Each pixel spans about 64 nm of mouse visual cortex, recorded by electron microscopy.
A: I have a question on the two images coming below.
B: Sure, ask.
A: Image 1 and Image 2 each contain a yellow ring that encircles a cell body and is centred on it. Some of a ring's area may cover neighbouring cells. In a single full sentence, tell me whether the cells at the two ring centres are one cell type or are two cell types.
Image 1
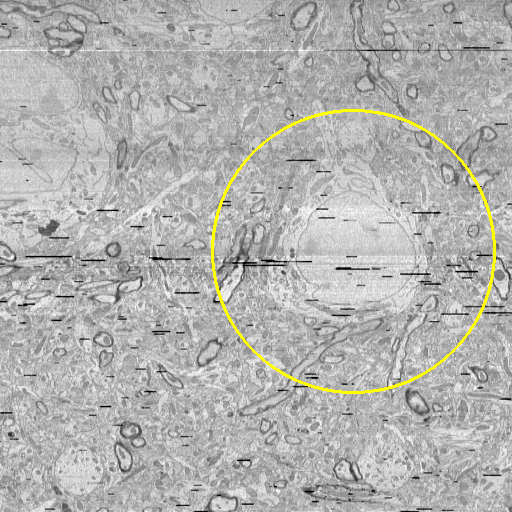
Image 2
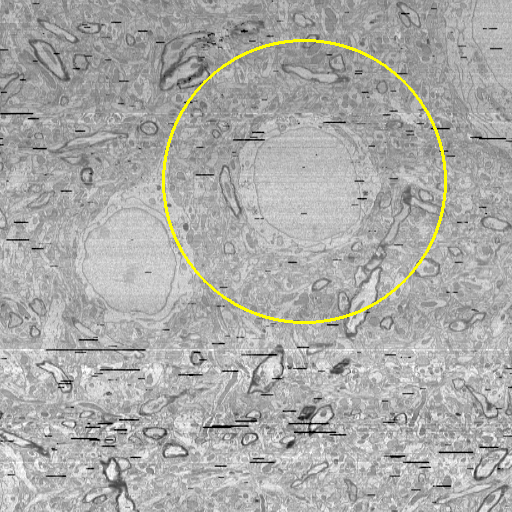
As for the ring-centre cells, the one in Image 1 and the one in Image 2 are one cell type.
